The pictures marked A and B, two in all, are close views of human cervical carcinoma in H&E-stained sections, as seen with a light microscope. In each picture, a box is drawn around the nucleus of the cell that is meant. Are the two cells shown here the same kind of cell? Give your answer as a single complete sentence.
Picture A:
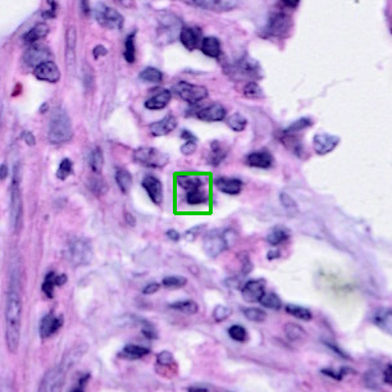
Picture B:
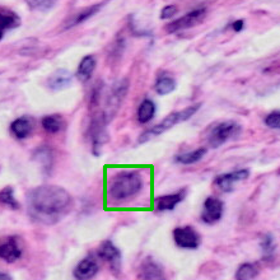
No; the cell in picture A is a lymphocyte, while the one in picture B is a “macrophage or monocyte”.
